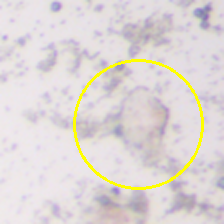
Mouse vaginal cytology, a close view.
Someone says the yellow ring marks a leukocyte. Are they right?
They are not: the ring marks a cornified epithelial cell.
